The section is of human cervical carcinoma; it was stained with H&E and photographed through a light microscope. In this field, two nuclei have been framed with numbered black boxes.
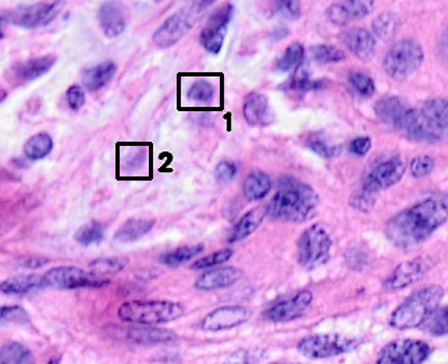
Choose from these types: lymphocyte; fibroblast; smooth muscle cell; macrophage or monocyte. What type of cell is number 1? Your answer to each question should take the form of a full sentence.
The expected answer is that cell 1 is a lymphocyte.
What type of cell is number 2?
The cell marked with the number 2 is a fibroblast.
